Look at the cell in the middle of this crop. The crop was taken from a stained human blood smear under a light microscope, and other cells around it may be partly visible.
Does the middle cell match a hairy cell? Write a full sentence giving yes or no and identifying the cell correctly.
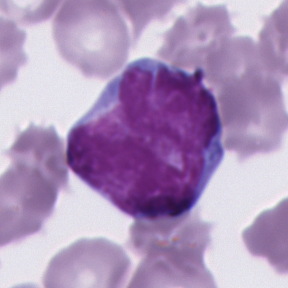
No, the cell at the centre is categorised not as a hairy cell but as a myeloblast.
